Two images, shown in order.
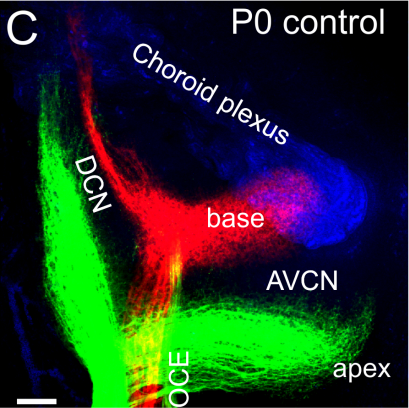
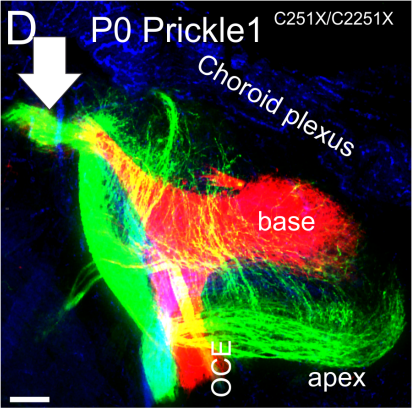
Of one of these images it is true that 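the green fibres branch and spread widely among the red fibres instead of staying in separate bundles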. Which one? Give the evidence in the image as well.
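Second image: many fine green fibres cross into and over the red territory, giving a yellow mix. First image: green and red fibres run in largely separate bundles with little mixing.
The second image.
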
